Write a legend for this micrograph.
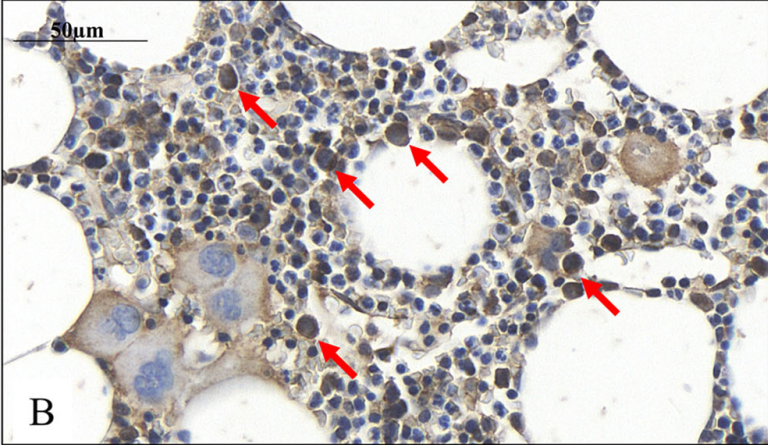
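This bone marrow section shows densely packed small hematopoietic cells lying between large round empty fat spaces, with scattered normoblasts. Most small cells have round, blue-stained nuclei and little visible cytoplasm. A few cells are stained dark brown and are round with a compact nucleus; several of them are marked by arrows. Thin strands of cells line the borders of the fat spaces.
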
